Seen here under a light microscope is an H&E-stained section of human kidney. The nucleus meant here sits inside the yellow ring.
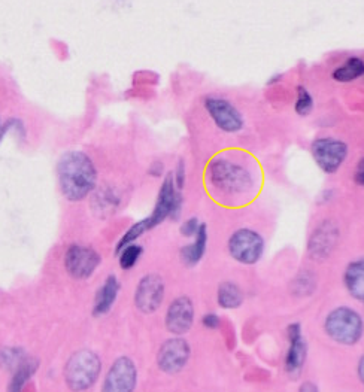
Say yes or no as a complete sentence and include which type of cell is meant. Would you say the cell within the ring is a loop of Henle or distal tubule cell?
Yes, the cell within the ring is, by type, a loop of Henle or distal tubule cell.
